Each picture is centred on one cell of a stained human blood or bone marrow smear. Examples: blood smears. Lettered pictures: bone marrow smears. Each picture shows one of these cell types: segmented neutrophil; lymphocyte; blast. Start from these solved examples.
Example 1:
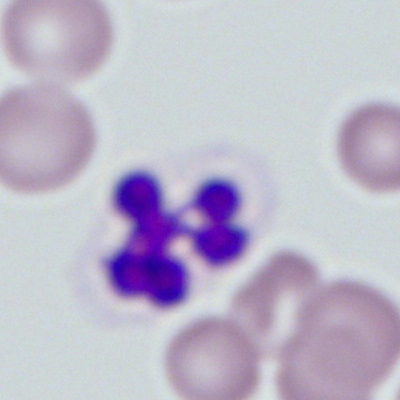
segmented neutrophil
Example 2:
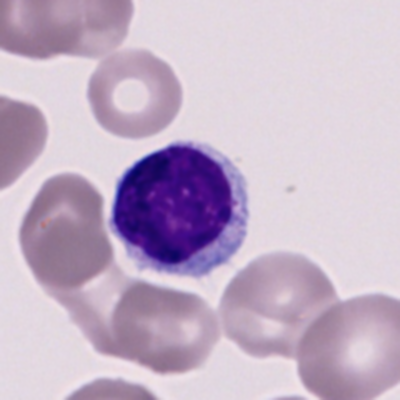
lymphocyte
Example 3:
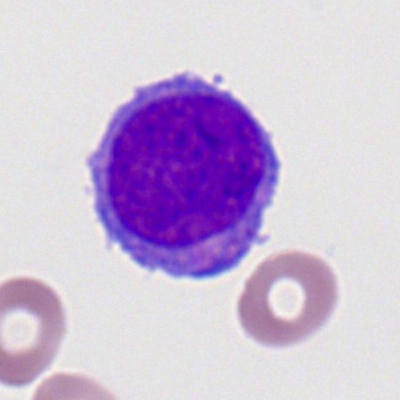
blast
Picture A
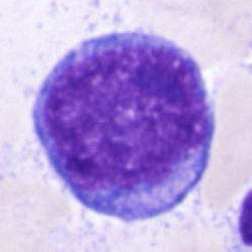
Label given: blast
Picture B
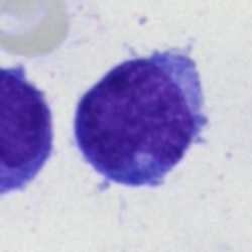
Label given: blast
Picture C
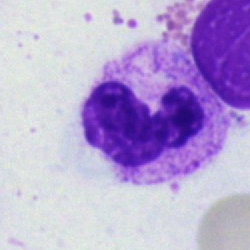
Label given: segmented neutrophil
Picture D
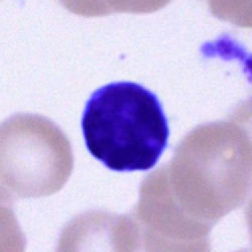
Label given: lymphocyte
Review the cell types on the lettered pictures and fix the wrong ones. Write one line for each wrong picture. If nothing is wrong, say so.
Nothing to fix; every label fits.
